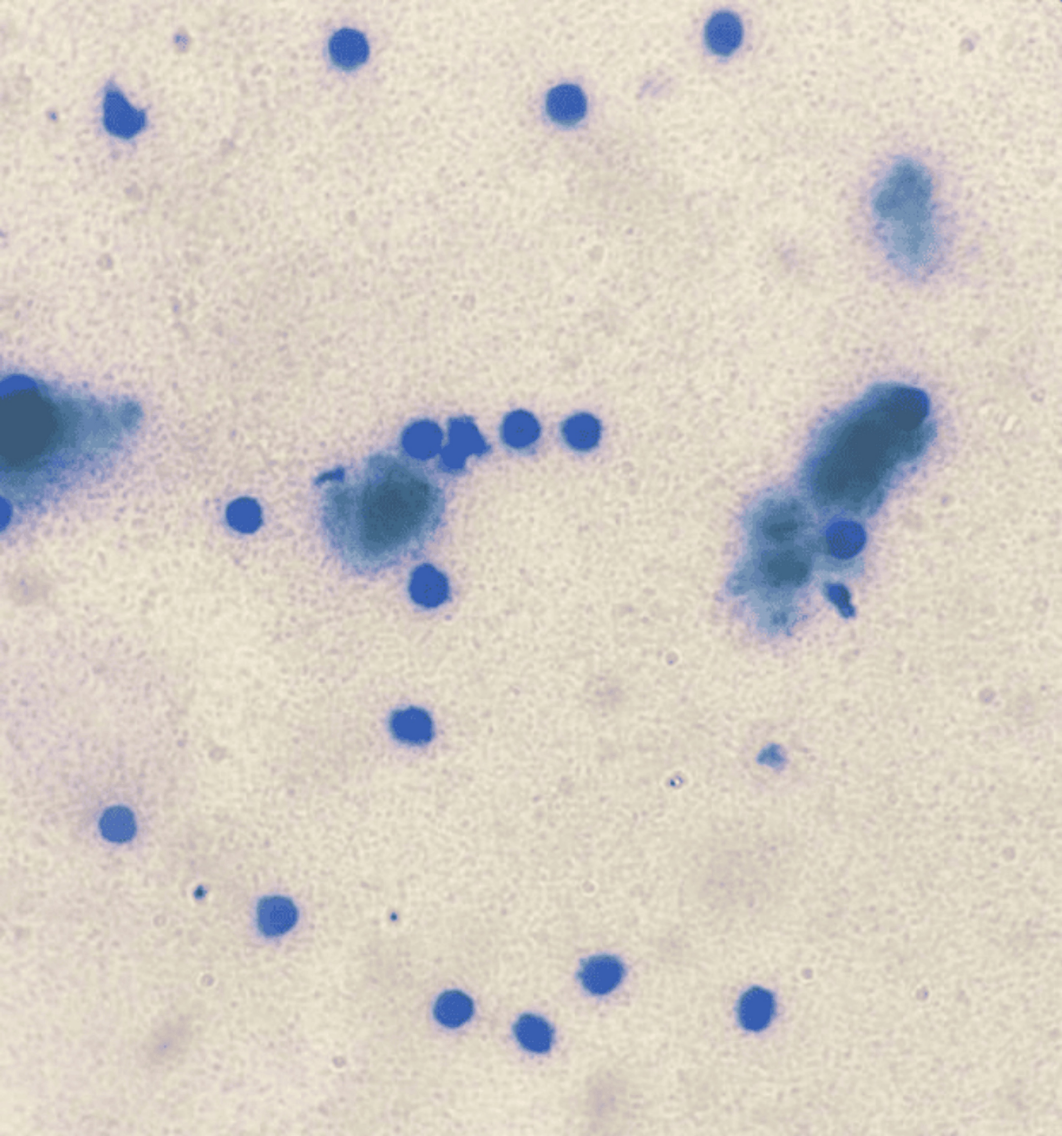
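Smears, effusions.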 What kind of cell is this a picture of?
Lymphocytes.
